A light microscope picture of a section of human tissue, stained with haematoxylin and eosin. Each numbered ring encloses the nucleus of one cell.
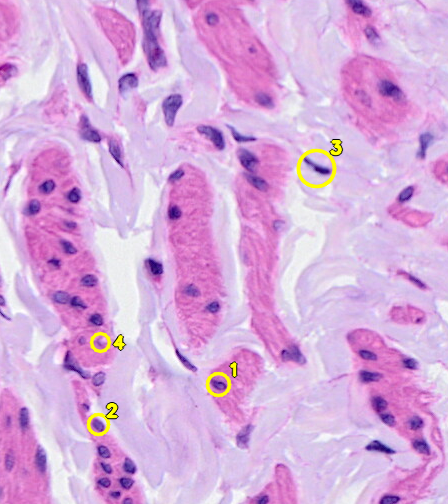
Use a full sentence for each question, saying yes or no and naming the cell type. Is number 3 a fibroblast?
Yes, the cell that goes by number 3 is a fibroblast.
